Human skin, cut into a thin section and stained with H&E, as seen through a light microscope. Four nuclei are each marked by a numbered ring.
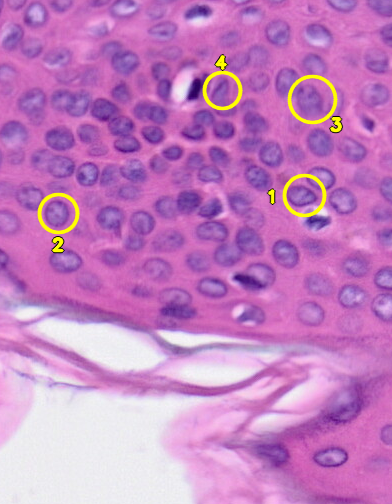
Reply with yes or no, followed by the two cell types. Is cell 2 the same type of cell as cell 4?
No, cell 2 is a suprabasal keratinocyte; cell 4 is a basal keratinocyte.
